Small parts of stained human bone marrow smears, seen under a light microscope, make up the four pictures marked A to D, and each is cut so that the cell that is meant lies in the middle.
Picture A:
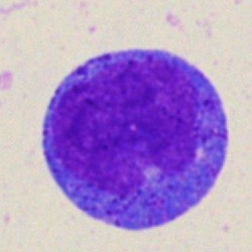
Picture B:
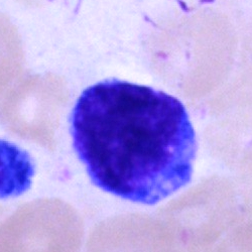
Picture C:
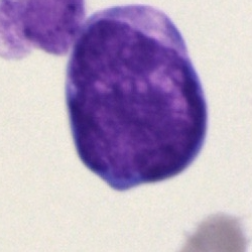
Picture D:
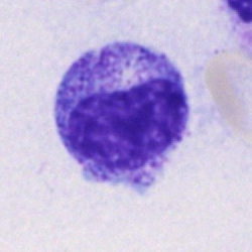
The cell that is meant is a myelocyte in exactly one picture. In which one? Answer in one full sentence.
Picture D shows the myelocyte.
